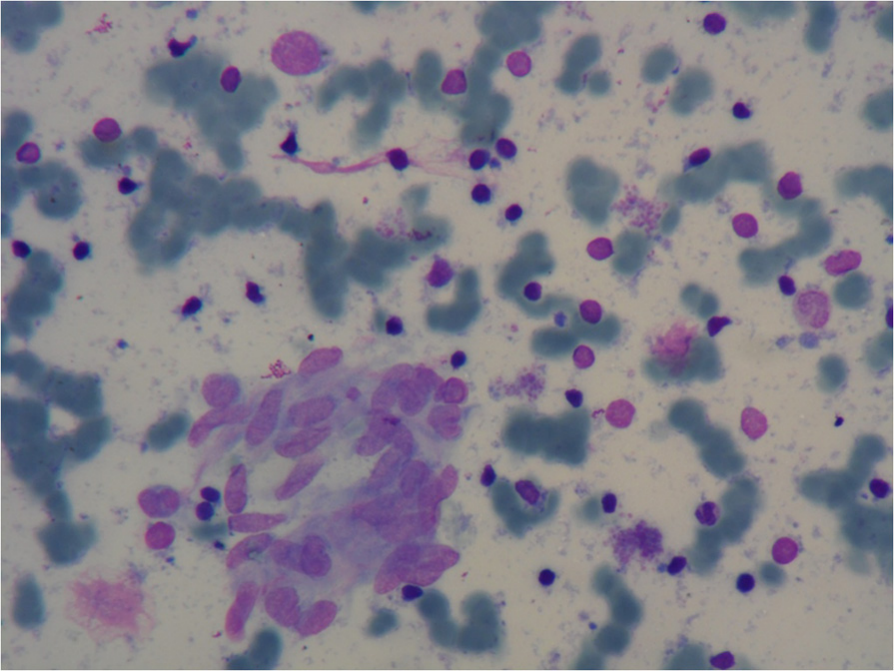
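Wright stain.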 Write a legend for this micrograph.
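The epithelioid cells have elongated, oval to curved, slipper-shaped pink-purple nuclei with fine chromatin, set in pale lilac cytoplasm whose cell borders cannot be made out. Around them lie many small round lymphocytes with dark, dense nuclei and scant cytoplasm, a few larger paler round cells, and grey-blue smeared material across the background.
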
